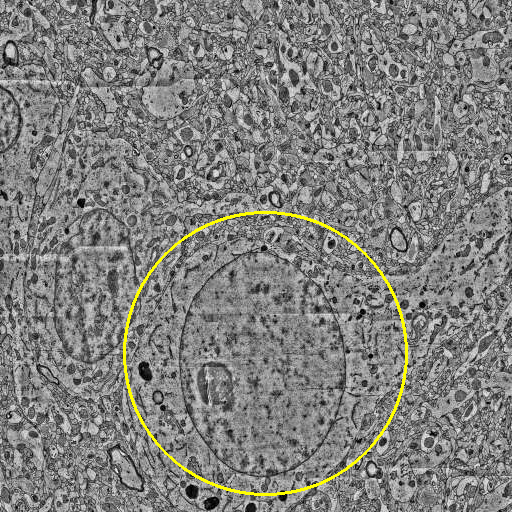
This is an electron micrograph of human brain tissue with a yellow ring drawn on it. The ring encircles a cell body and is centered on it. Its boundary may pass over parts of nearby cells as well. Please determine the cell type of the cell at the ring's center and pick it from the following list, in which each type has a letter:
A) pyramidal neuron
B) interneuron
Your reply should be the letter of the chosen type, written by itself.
A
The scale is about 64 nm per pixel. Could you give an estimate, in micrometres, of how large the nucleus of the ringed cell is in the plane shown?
Approximately 14 micrometres long and 11 micrometres wide, in this plane.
